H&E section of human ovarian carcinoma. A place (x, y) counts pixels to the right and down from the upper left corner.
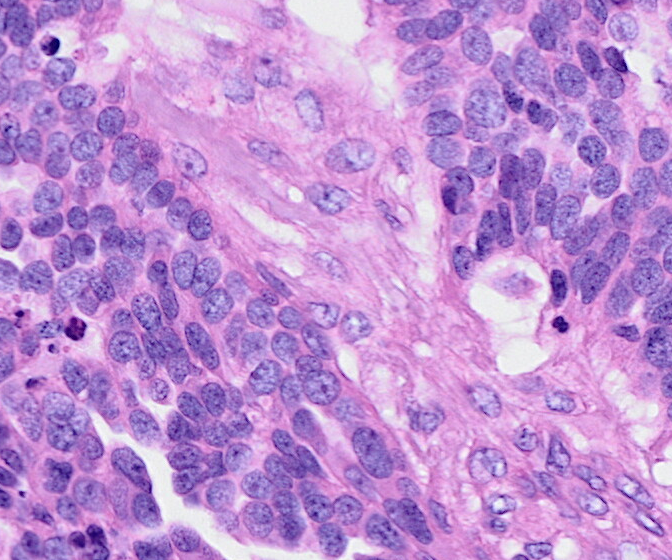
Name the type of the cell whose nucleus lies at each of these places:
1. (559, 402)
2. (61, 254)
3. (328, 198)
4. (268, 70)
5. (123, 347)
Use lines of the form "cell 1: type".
cell 1: fibroblast
cell 2: carcinoma cell
cell 3: fibroblast
cell 4: fibroblast
cell 5: carcinoma cell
